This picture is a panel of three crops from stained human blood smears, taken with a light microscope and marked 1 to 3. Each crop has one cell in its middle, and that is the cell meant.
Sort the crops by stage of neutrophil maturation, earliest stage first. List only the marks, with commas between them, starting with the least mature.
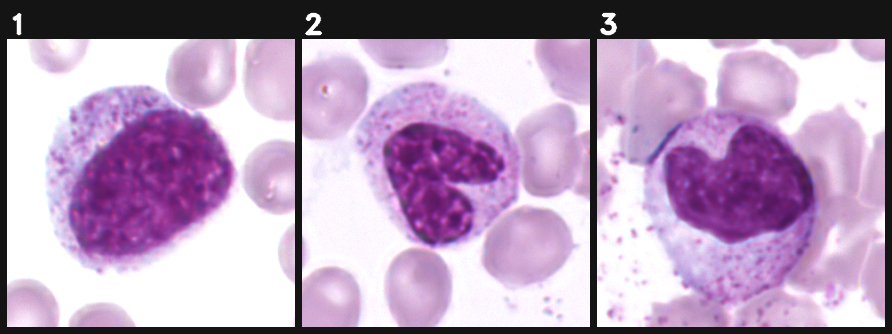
1, 3, 2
